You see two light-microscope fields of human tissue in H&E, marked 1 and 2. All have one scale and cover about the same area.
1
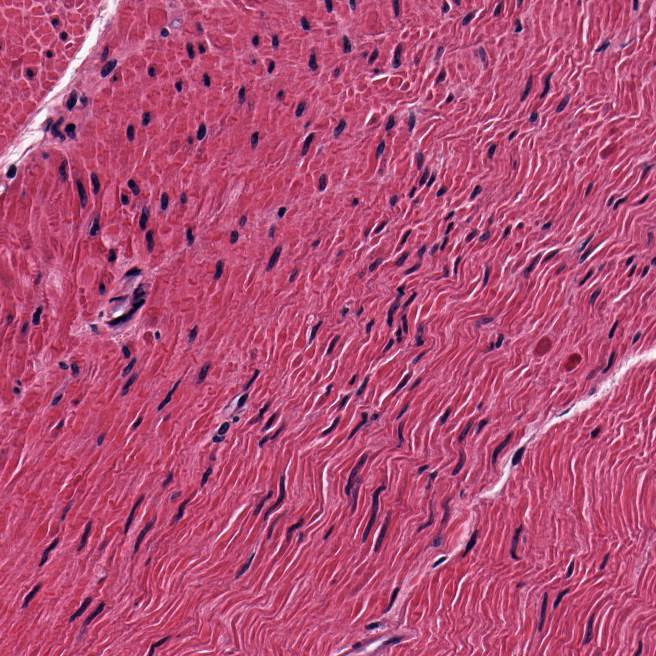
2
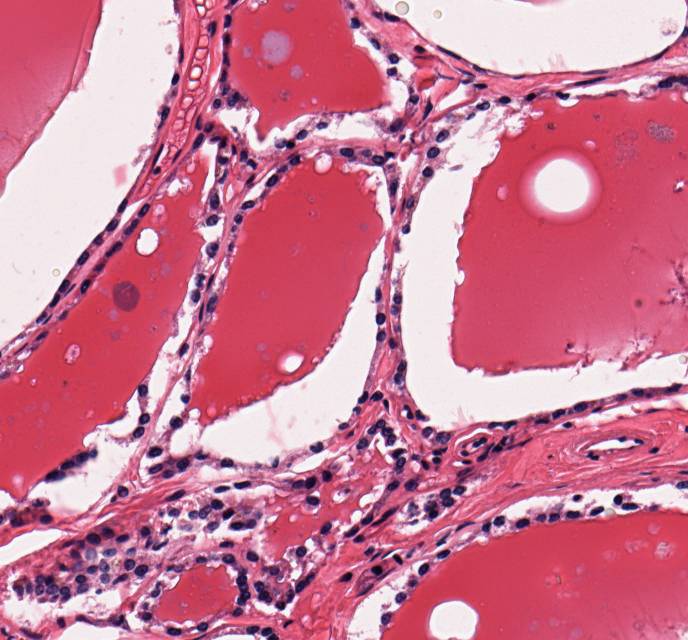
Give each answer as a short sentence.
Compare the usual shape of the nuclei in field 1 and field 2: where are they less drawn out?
The nuclei are rounder in field 2.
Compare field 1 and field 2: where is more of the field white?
Field 2 has more white space.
